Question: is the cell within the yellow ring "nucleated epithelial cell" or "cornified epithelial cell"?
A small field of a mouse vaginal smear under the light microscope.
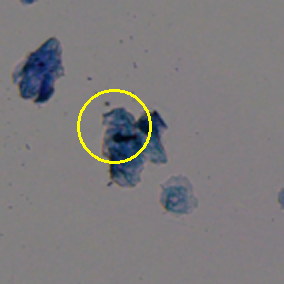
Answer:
cornified epithelial cell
